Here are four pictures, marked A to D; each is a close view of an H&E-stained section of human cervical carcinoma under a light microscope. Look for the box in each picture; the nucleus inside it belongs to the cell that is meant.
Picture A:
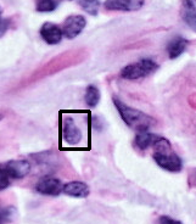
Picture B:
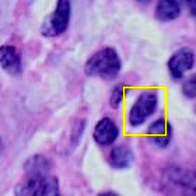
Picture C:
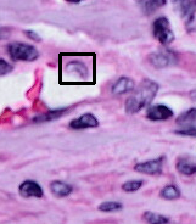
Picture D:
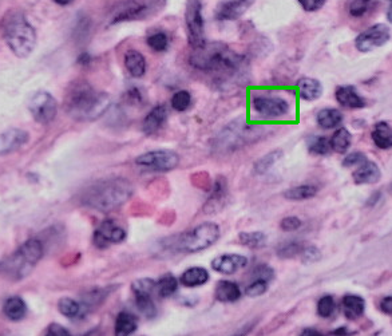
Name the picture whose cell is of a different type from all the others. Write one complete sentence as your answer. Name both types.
The different one is picture C; it shows an endothelial cell, whereas all the others show lymphocytes.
